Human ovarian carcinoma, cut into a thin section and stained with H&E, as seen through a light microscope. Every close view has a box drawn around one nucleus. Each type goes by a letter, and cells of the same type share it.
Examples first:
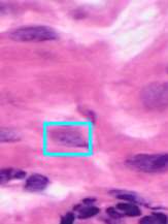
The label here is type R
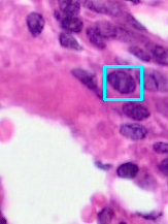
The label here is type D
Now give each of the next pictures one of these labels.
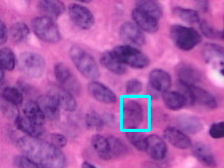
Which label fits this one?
type D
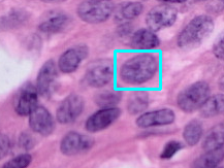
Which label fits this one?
type D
